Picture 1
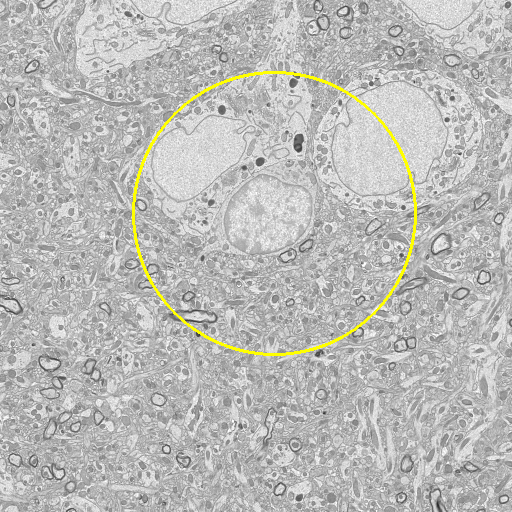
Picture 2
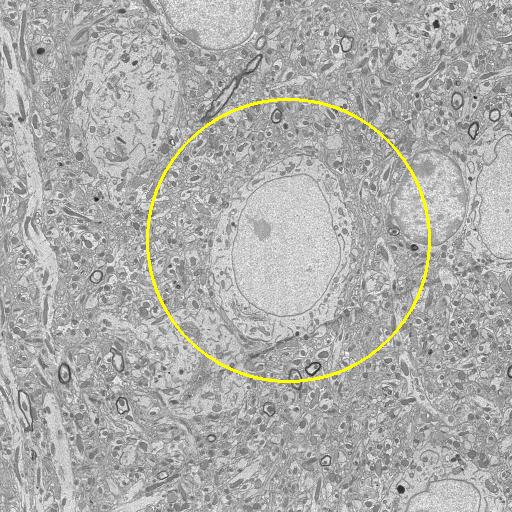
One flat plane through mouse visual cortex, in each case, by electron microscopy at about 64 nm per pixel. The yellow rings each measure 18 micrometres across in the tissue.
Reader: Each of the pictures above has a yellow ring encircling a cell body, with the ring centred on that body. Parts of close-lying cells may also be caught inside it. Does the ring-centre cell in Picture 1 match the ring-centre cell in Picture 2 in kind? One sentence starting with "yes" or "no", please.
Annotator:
No, Picture 1 and Picture 2 show ring-centre cells of two kinds.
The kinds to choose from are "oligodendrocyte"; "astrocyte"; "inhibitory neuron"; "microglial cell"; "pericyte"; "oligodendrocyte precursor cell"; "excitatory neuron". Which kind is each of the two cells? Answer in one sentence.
Of the two, the first cell is an oligodendrocyte and the second cell is an excitatory neuron.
